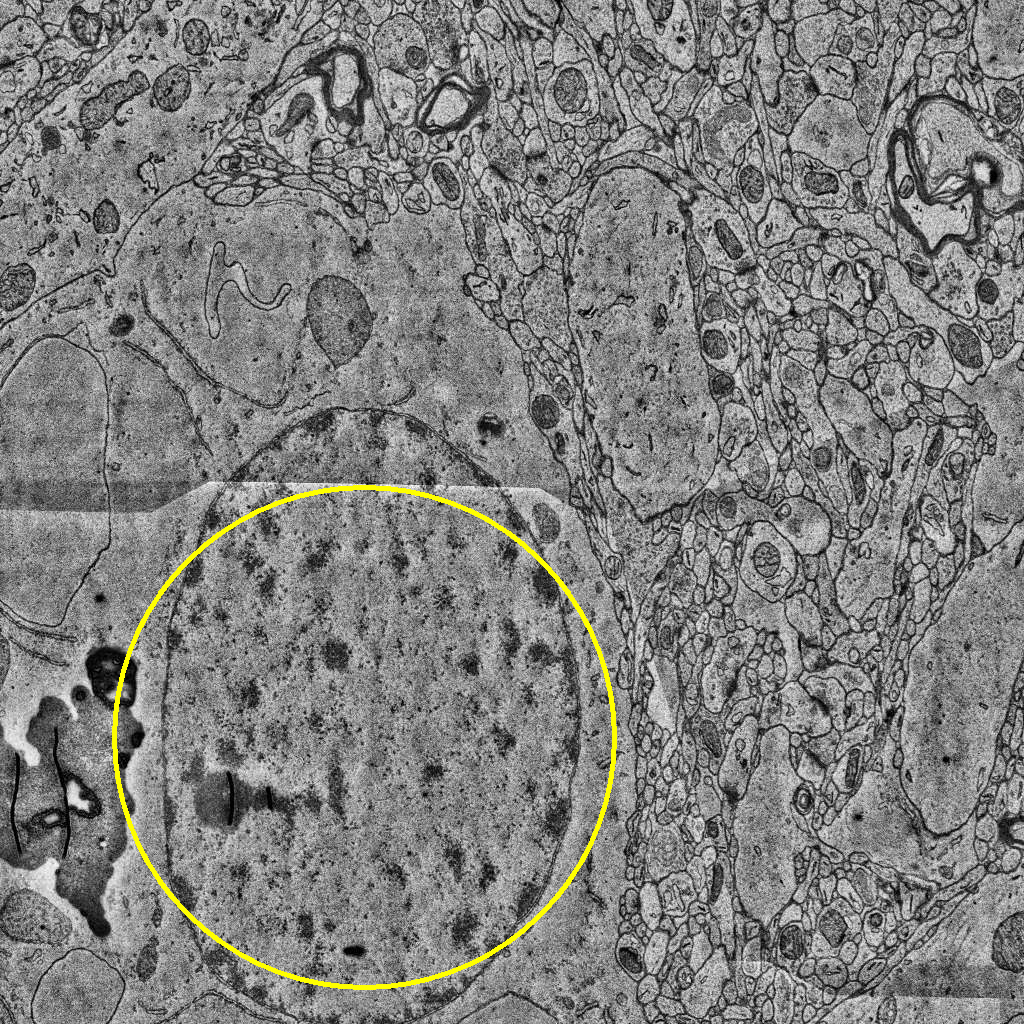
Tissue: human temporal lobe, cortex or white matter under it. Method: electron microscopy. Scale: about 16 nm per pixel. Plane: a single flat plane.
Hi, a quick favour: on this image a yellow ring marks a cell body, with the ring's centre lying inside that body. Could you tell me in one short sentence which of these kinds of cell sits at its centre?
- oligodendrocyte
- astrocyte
The ring's centre lies in an astrocyte.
